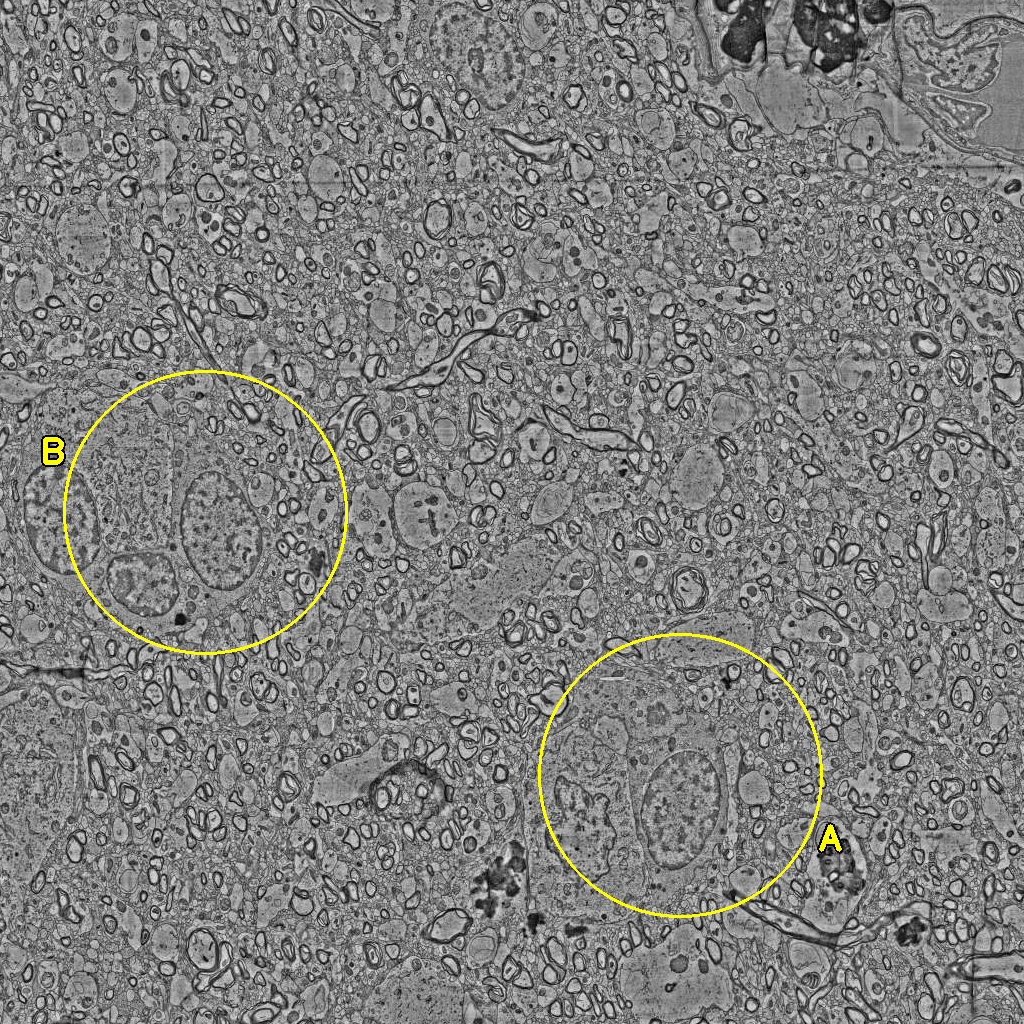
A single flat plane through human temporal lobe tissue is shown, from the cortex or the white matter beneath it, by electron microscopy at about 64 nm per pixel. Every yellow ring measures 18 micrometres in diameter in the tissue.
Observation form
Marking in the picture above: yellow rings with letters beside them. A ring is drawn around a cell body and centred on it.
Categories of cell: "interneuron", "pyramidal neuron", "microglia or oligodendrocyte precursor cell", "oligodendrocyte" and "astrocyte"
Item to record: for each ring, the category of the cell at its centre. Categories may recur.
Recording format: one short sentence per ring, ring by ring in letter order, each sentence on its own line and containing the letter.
Ring A is placed on an oligodendrocyte.
Ring B is placed on an oligodendrocyte.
